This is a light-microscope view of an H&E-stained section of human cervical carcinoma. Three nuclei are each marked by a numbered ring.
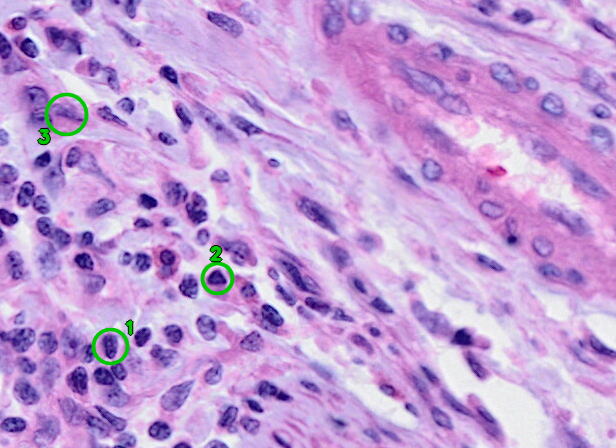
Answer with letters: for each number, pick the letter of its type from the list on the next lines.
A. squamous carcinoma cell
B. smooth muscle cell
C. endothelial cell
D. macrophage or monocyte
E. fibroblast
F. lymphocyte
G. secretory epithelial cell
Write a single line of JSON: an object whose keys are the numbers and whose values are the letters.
{"1": "F", "2": "F", "3": "C"}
